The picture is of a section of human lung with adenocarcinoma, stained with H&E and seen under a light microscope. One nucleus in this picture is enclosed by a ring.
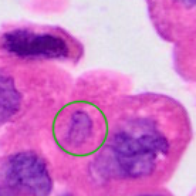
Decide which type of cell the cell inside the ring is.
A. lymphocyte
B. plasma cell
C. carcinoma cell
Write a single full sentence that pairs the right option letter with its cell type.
Given that the cell inside the ring is a carcinoma cell, option C is the correct one.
